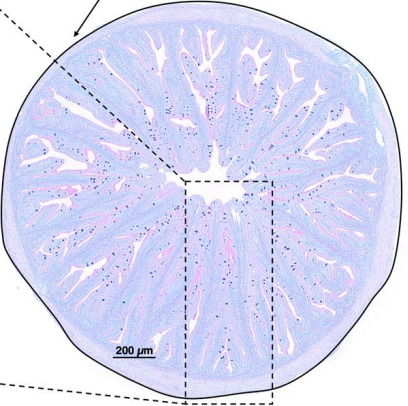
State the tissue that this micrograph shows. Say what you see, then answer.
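A round cross-section with a central lumen. Many slender folds project from the wall toward the lumen. A continuous outer wall layer surrounds the folds. On this evidence: intestine.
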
